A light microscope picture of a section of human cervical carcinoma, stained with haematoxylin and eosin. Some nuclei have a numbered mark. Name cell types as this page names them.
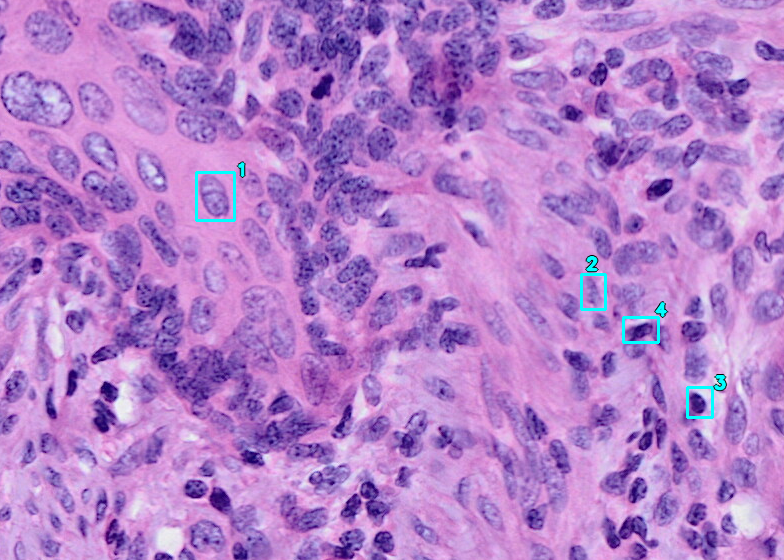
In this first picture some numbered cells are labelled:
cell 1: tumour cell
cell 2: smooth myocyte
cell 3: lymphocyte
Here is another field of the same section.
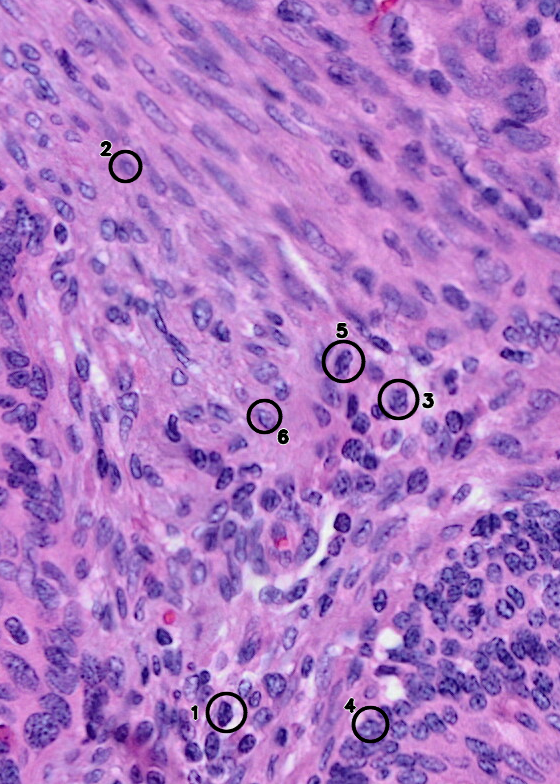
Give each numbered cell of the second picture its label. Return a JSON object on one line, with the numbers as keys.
{"1": "lymphocyte", "2": "smooth myocyte", "3": "lymphocyte", "4": "tumour cell", "5": "lymphocyte", "6": "smooth myocyte"}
